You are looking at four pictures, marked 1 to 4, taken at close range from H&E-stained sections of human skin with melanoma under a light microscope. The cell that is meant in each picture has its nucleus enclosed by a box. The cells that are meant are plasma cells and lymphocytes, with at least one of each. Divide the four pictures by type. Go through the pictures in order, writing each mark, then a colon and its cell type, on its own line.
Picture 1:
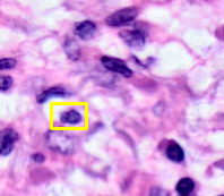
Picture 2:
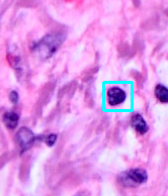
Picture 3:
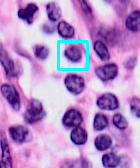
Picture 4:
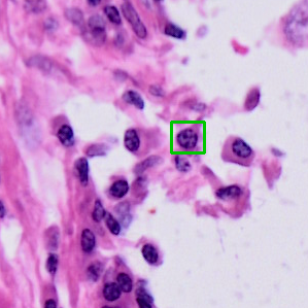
1: lymphocyte
2: lymphocyte
3: lymphocyte
4: plasma cell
